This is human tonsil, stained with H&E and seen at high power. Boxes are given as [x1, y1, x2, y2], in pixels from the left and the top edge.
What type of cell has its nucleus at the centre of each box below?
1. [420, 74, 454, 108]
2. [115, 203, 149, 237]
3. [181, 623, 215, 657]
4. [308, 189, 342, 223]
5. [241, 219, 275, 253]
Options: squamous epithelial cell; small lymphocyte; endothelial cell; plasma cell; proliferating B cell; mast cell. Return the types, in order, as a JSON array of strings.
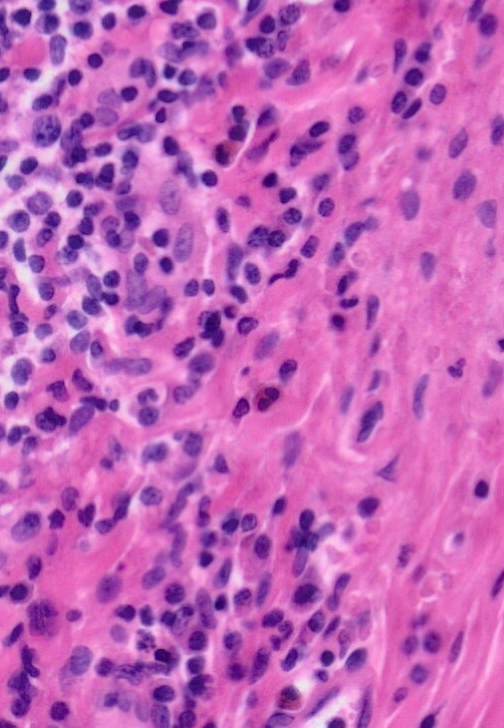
["mast cell", "endothelial cell", "plasma cell", "mast cell", "plasma cell"]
